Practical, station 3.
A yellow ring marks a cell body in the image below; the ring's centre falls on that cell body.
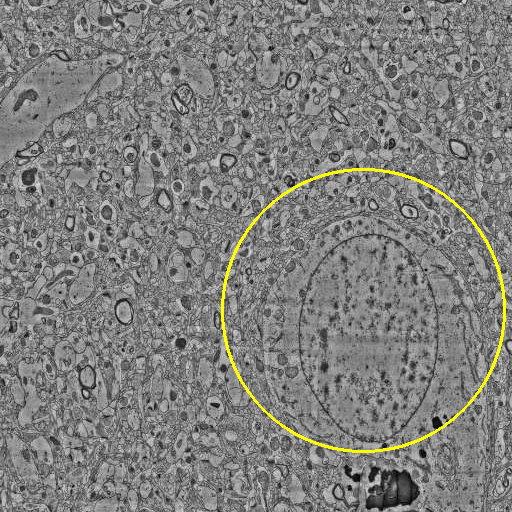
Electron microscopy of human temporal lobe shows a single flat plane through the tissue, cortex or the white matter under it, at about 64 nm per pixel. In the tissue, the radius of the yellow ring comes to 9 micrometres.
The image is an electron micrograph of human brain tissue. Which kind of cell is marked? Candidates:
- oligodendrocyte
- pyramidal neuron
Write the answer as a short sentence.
The marked cell body is that of a pyramidal neuron.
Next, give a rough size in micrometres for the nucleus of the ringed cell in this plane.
Approximately 13 micrometres long and 9 micrometres wide, in this plane.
